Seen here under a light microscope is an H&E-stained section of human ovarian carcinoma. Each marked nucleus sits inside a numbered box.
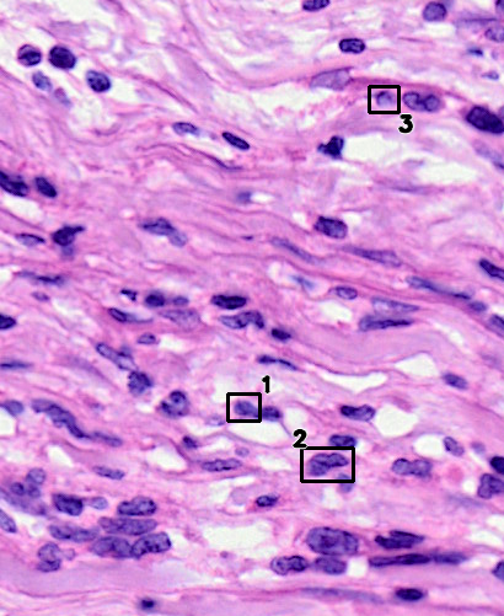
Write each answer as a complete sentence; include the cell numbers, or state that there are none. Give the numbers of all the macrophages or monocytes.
Across all the numbered cells, only number 2 is a macrophage or monocyte.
